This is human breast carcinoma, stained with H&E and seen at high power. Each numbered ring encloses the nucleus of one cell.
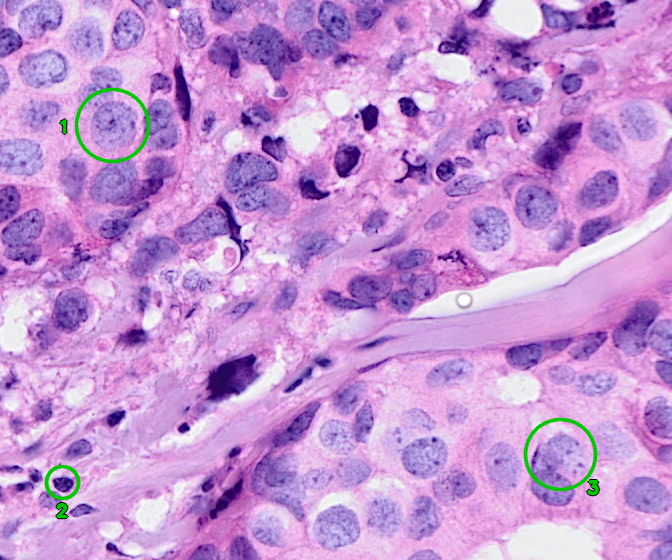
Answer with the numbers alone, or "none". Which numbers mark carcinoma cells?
1, 3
